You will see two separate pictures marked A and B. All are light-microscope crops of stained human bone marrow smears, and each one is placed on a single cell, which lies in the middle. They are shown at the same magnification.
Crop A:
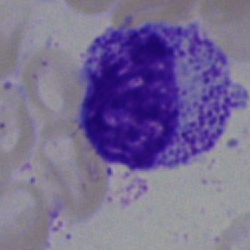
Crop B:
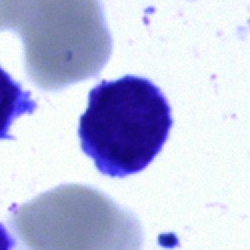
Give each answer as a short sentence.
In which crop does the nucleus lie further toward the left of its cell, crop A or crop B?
It is the nucleus in crop A that lies further toward the left of its cell.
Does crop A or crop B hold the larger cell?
It is the cell in crop A, about 2.5 times as large in area as the cell in crop B.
